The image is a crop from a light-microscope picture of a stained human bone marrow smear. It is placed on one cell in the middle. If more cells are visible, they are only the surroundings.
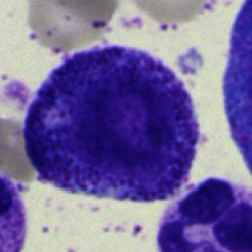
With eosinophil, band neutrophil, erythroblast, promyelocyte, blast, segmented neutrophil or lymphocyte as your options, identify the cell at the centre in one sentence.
Here the cell in the middle is a promyelocyte.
